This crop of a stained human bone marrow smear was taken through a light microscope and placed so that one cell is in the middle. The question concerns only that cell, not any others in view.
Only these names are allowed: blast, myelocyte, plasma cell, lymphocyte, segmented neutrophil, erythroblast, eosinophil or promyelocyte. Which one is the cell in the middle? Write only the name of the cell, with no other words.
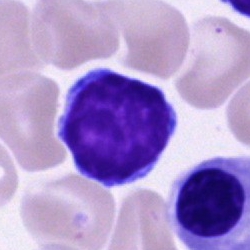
lymphocyte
